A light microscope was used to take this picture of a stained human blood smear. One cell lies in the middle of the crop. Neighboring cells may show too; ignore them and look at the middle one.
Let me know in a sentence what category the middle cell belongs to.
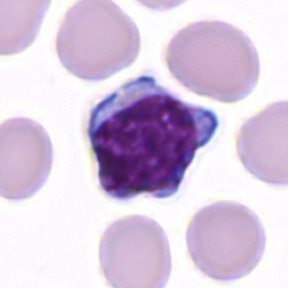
The cell around which this crop is centred is a plasma cell.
